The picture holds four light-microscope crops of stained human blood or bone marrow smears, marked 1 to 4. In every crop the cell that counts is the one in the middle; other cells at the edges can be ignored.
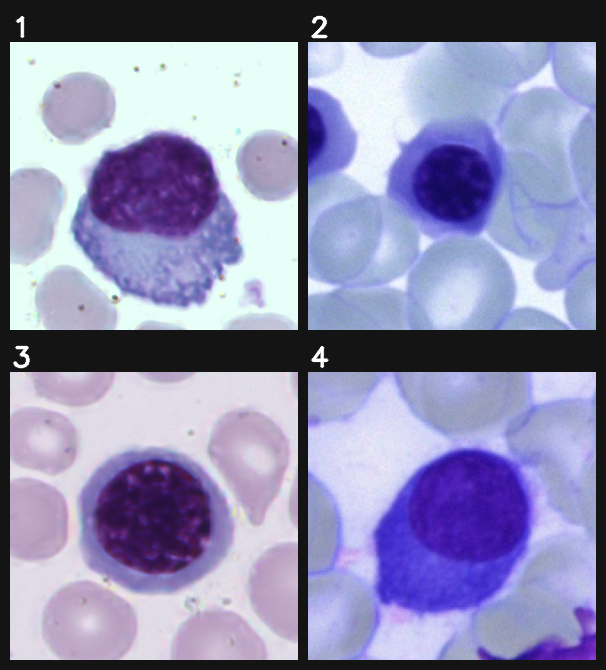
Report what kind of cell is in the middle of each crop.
1: plasma cell
2: erythroblast
3: erythroblast
4: plasma cell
